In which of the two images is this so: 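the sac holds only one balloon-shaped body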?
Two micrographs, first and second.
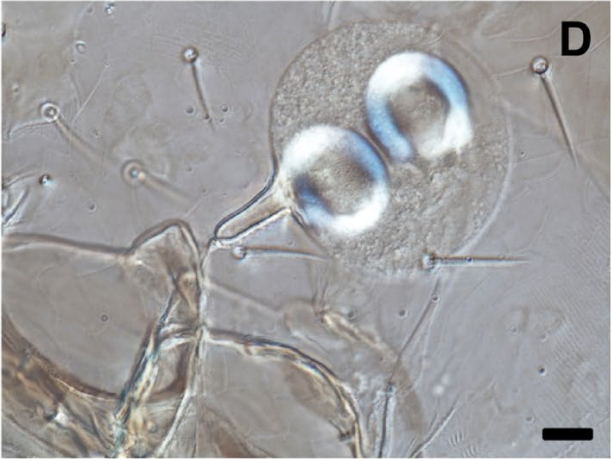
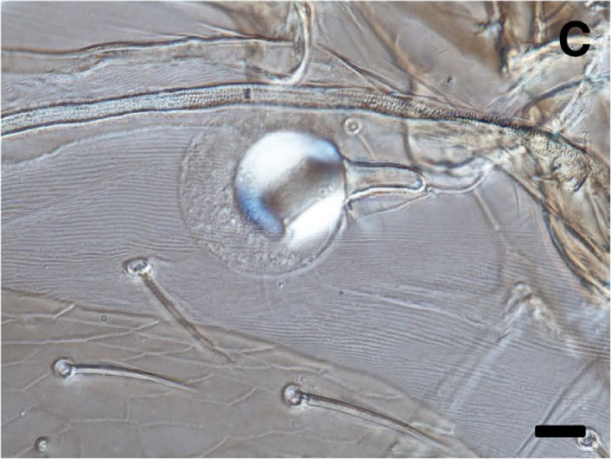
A: The second image.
